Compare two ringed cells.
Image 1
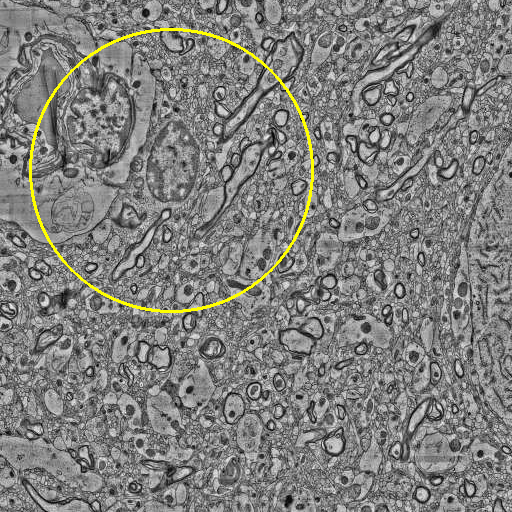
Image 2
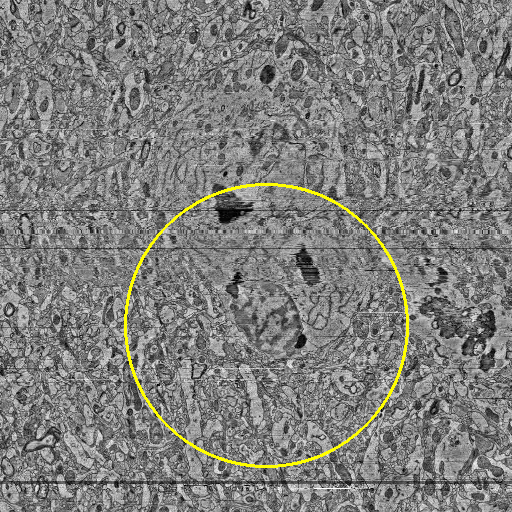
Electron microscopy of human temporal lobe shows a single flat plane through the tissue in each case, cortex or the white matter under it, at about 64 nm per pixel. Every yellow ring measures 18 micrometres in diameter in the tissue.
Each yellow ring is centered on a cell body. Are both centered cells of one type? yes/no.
yes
